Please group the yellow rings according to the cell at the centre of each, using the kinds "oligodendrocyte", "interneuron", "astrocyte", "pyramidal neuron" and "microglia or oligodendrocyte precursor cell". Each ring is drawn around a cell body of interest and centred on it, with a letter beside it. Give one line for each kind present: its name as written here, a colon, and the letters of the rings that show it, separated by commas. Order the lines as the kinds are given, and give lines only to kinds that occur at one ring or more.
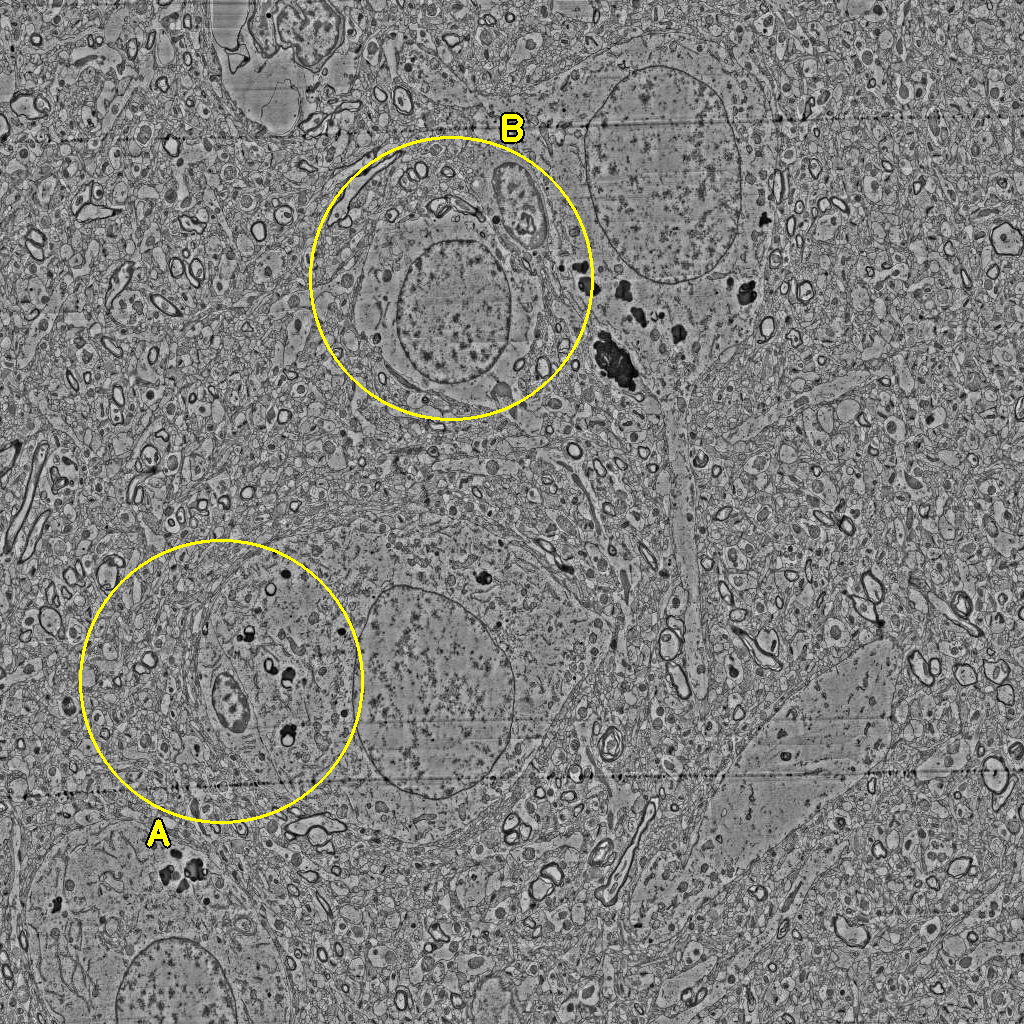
astrocyte: B
microglia or oligodendrocyte precursor cell: A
